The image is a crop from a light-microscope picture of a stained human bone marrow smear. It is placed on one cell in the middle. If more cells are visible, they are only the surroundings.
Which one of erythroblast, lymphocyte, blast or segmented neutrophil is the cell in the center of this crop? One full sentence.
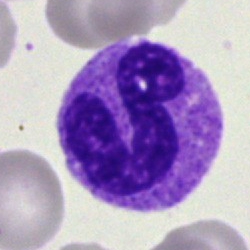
The cell centred in this crop is categorized as a segmented neutrophil.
